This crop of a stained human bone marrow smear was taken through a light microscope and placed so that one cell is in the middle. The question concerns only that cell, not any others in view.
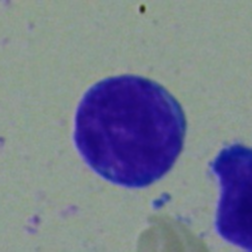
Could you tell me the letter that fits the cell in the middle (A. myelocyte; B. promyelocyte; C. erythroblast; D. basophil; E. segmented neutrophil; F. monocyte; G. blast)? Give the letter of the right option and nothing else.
G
